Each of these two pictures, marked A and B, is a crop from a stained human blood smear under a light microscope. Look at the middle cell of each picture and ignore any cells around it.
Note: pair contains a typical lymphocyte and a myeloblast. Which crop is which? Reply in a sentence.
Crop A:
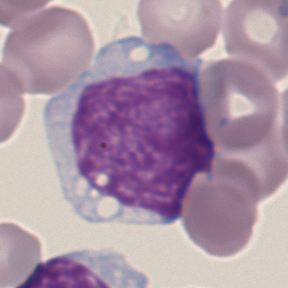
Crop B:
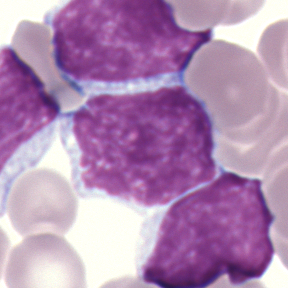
Crop A is a myeloblast, with crop B being a typical lymphocyte.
